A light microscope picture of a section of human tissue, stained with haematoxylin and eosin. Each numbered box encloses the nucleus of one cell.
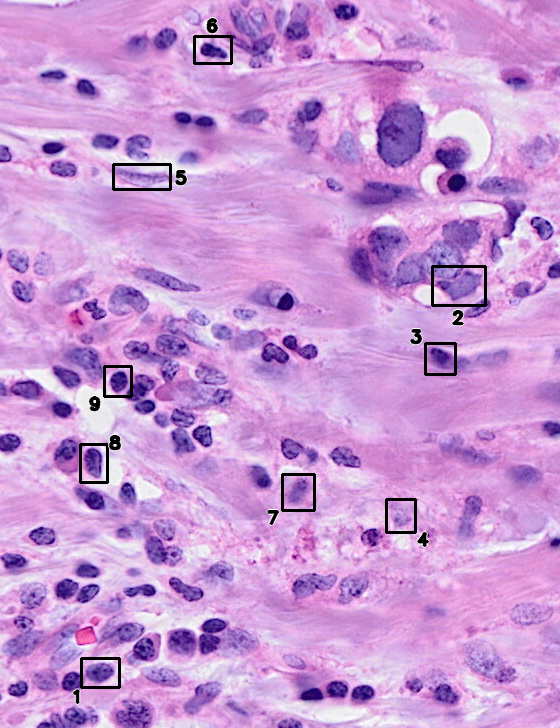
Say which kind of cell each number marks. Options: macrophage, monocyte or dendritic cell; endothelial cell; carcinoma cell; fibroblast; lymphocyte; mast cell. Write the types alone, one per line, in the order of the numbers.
lymphocyte
carcinoma cell
lymphocyte
fibroblast
fibroblast
lymphocyte
mast cell
lymphocyte
lymphocyte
